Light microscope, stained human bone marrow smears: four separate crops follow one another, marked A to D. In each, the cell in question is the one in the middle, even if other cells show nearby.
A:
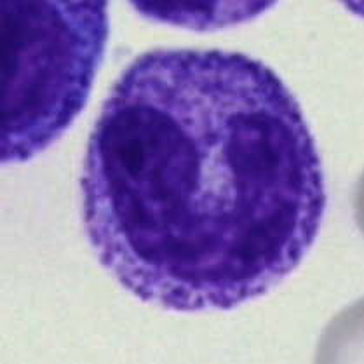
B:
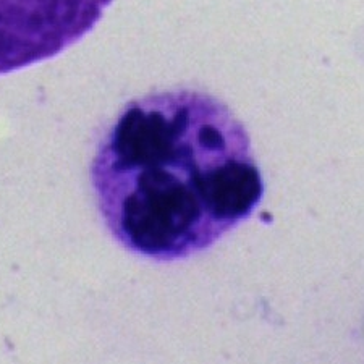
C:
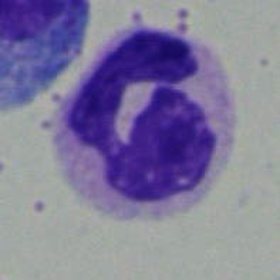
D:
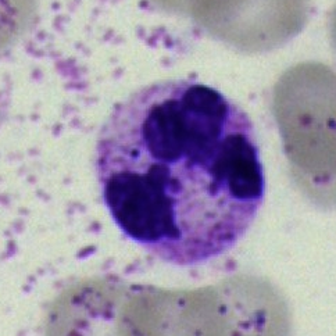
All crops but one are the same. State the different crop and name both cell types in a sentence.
The different one is crop A, which is a band neutrophil; the rest all show segmented neutrophils.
